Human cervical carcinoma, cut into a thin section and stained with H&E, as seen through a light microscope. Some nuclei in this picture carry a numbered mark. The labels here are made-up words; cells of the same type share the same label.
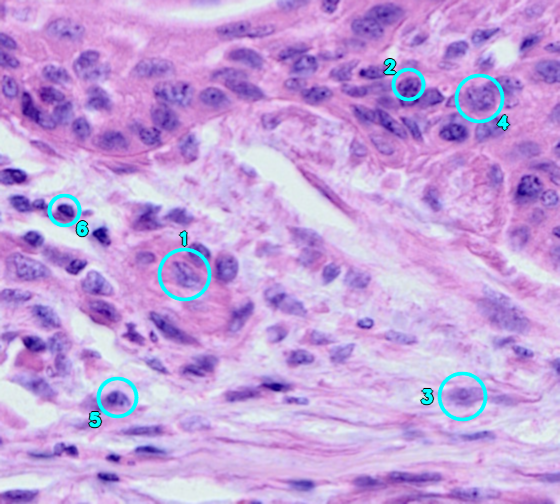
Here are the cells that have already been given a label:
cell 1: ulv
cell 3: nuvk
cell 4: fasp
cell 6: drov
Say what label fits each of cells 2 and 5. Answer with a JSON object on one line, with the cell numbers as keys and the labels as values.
{"2": "fasp", "5": "drov"}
